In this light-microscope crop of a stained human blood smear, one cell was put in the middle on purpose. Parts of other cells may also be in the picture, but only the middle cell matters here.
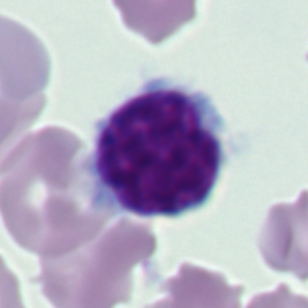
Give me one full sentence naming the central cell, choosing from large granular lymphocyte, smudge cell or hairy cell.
The target cell in the middle of the crop is a hairy cell.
